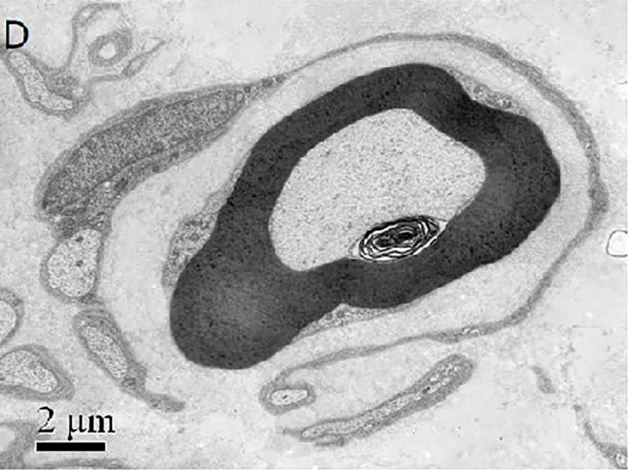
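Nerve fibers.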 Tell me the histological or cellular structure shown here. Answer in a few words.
Atypical onion bulb structure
